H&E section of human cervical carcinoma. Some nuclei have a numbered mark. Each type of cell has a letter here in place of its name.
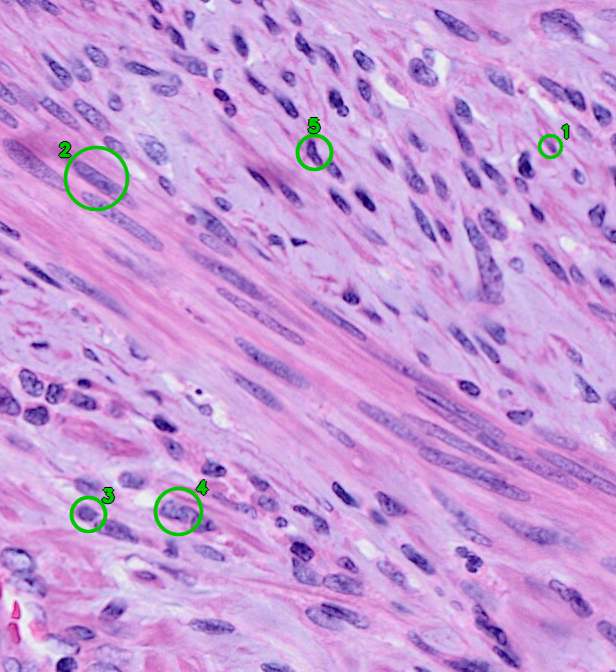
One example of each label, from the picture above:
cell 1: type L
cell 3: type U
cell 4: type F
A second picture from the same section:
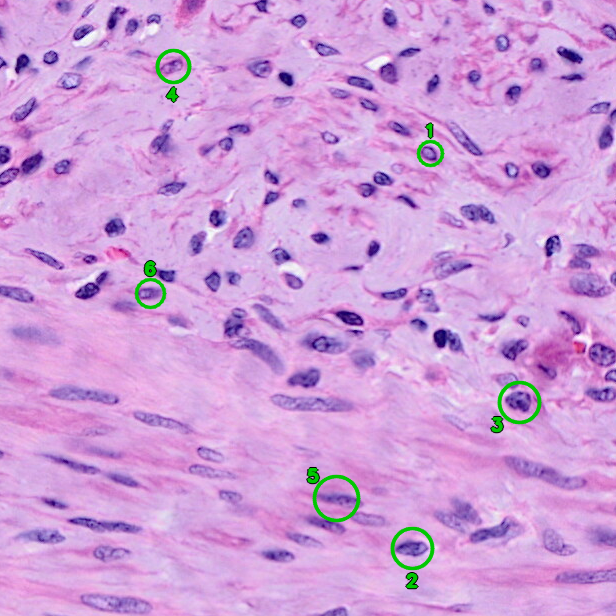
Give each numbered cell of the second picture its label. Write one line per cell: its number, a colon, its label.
1: type L
2: type U
3: type U
4: type L
5: type L
6: type L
